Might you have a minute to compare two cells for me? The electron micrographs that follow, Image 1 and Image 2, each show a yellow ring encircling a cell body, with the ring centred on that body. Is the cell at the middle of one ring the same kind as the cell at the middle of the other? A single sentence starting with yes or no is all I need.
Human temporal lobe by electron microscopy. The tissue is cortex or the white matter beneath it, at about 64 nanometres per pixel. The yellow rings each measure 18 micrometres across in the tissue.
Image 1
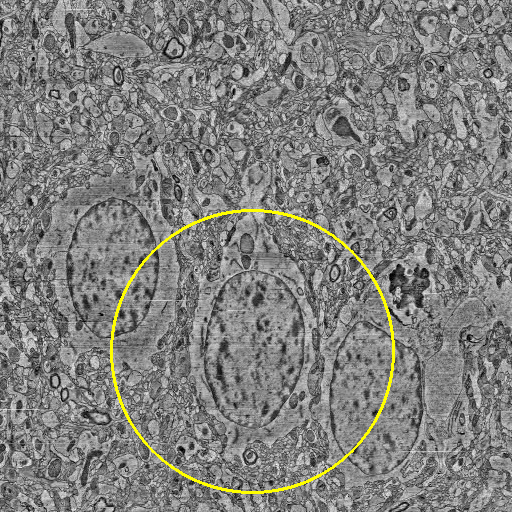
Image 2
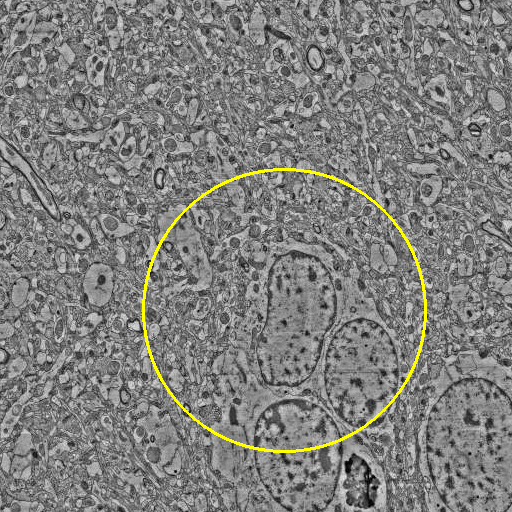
No, the cells in the middle of the two rings are of two separate kinds.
